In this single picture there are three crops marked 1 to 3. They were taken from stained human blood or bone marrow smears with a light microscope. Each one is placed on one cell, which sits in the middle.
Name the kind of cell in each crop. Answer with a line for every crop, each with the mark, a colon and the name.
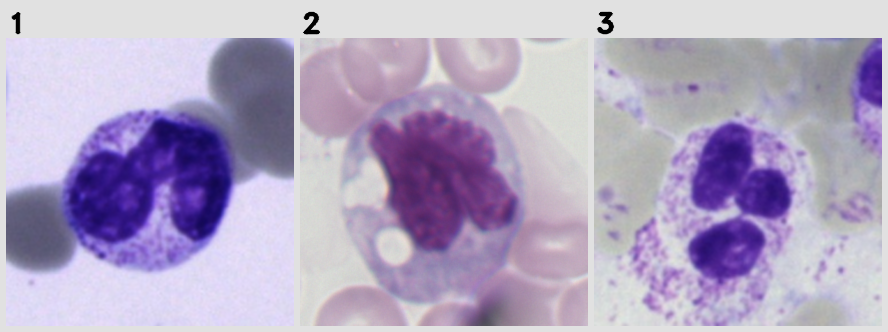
1: band neutrophil
2: monocyte
3: segmented neutrophil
